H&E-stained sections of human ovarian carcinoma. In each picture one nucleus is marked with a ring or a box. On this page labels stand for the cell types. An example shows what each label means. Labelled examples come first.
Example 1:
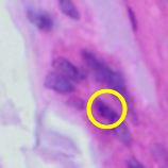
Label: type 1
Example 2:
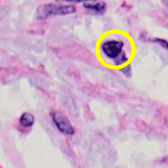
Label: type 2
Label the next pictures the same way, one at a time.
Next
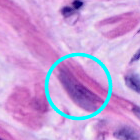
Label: type 1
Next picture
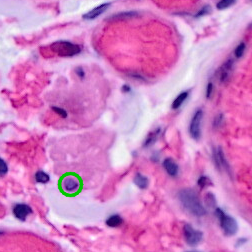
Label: type 1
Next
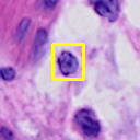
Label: type 2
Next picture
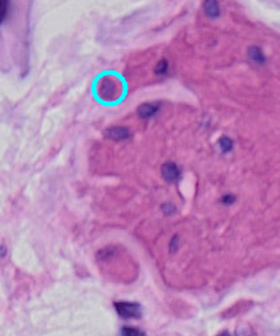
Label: type 1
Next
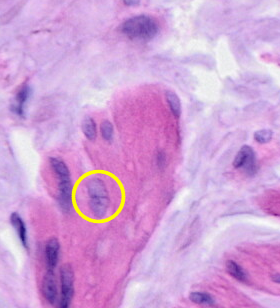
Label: type 1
